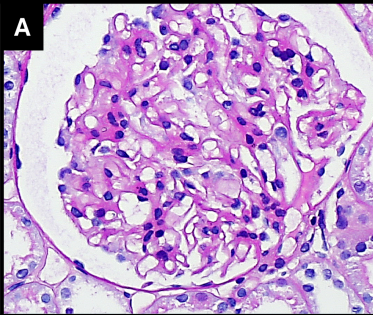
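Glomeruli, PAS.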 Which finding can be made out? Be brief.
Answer: Mesangial cell hipercellularity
